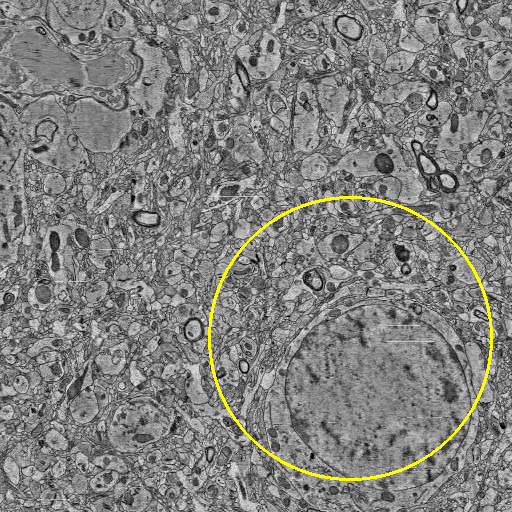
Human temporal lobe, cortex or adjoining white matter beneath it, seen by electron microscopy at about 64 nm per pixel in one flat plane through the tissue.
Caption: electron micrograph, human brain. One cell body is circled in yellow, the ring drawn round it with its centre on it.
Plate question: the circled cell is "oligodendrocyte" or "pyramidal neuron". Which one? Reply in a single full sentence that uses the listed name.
The yellow ring on the plate is centred on a pyramidal neuron, going by the listed names.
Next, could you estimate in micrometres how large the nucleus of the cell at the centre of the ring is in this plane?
The nucleus measures about 12 micrometers across in this plane.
